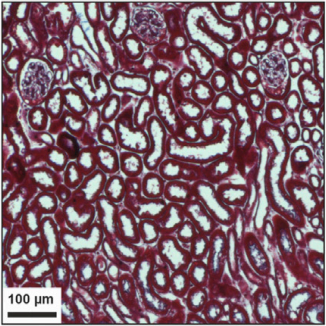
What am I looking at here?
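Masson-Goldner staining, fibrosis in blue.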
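Kidney tissue densely packed with tubules, their red-stained epithelial walls lining open white lumens, many cut lengthwise as elongated, winding profiles. A few rounded glomeruli lie among the tubules, and blue-stained connective tissue is scarcely visible.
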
